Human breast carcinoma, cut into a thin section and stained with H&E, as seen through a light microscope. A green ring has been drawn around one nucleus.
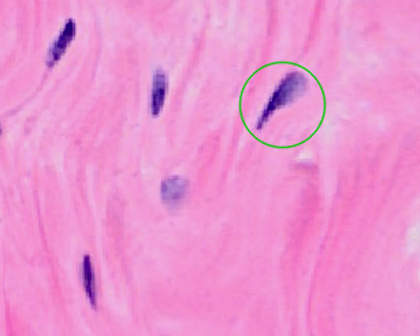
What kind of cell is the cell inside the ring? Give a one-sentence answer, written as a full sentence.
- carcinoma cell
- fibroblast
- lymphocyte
As a matter of cell type, the cell inside the ring is a fibroblast.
